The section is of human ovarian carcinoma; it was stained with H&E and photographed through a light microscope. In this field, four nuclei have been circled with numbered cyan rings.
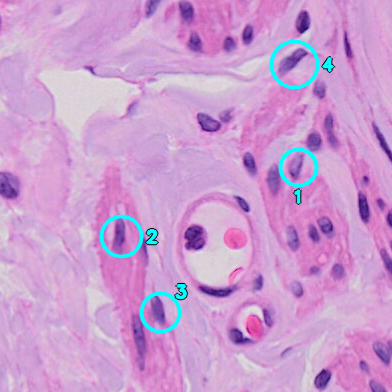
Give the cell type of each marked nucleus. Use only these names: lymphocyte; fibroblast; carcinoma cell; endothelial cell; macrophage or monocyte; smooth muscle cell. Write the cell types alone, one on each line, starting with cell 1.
smooth muscle cell
smooth muscle cell
smooth muscle cell
fibroblast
